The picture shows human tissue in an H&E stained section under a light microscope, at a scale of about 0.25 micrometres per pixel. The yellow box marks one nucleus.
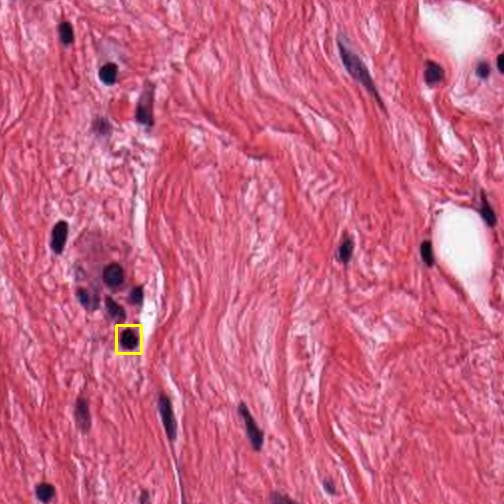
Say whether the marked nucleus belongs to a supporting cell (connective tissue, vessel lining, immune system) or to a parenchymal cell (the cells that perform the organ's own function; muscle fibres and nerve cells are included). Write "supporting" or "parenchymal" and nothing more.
supporting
